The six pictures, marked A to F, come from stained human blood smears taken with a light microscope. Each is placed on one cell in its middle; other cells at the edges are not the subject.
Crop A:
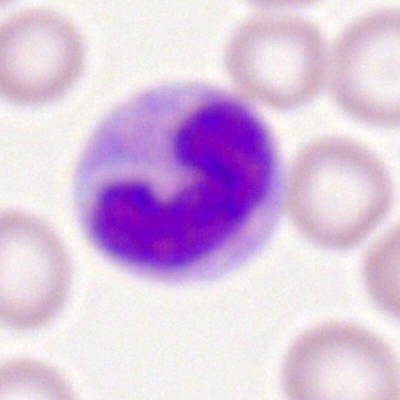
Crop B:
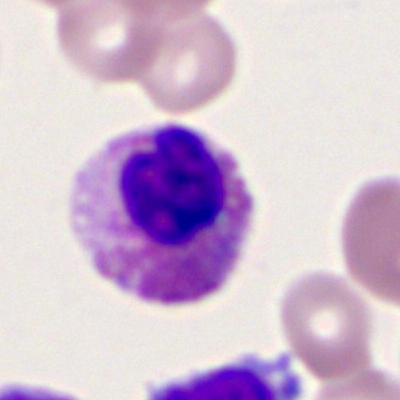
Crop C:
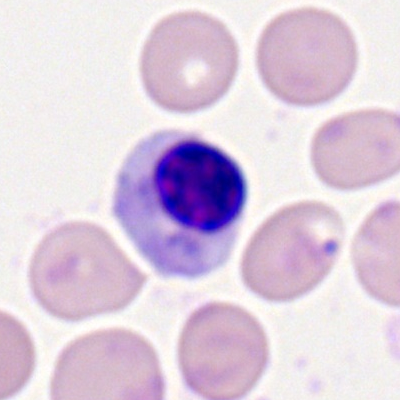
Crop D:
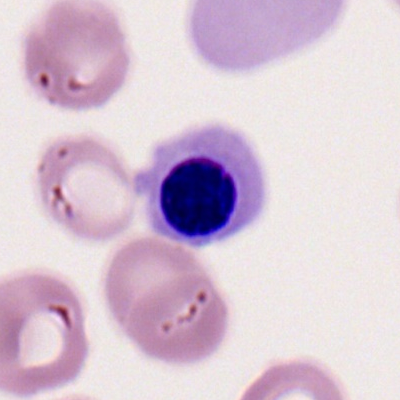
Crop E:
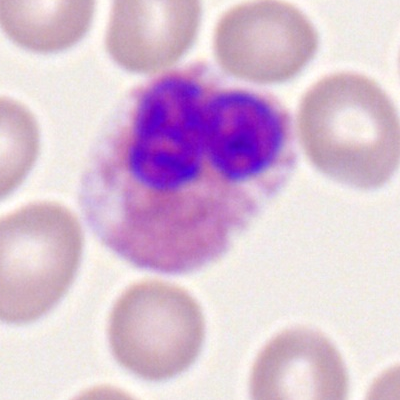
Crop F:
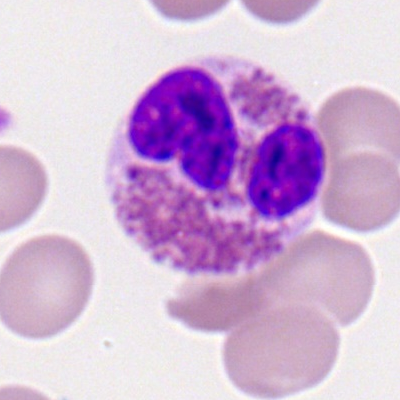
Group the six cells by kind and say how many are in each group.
eosinophil: 3
erythroblast: 2
band neutrophil: 1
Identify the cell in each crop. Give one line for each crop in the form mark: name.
A: band neutrophil
B: eosinophil
C: erythroblast
D: erythroblast
E: eosinophil
F: eosinophil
